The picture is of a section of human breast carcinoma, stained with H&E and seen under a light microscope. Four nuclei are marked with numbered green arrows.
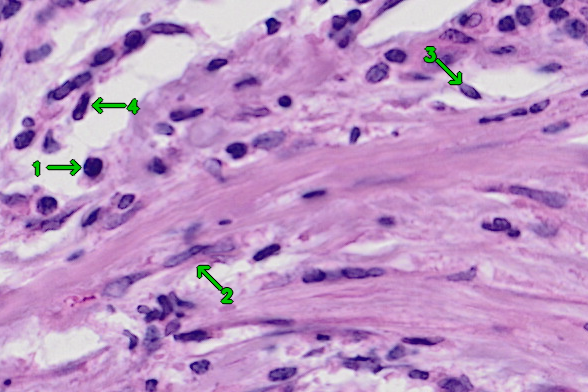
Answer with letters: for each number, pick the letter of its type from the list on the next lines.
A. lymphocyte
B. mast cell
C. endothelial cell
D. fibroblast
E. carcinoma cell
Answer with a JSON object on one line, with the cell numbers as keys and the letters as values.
{"1": "A", "2": "C", "3": "A", "4": "A"}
